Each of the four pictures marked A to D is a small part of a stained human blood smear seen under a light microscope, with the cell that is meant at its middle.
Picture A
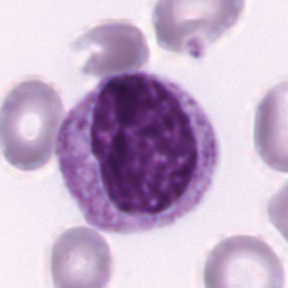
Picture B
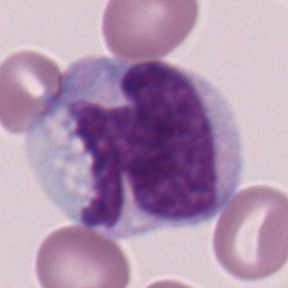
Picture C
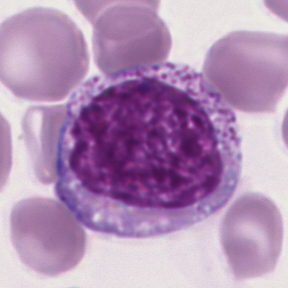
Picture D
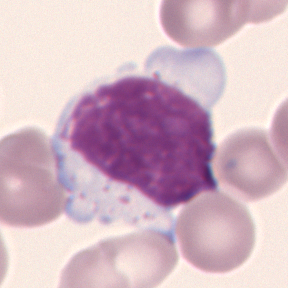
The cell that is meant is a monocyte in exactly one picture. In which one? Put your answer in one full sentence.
The picture with the monocyte is B.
